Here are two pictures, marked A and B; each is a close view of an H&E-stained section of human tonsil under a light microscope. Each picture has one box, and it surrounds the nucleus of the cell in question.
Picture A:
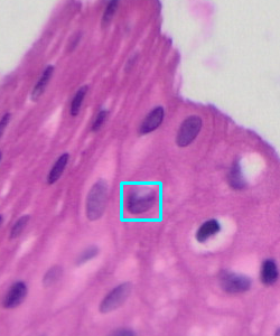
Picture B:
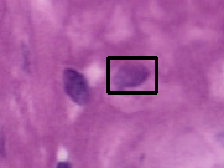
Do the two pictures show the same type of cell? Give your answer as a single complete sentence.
Yes, they are the same type: both are squamous epithelial cells.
